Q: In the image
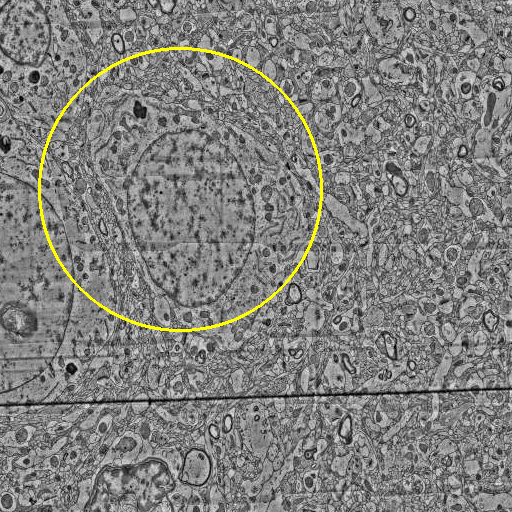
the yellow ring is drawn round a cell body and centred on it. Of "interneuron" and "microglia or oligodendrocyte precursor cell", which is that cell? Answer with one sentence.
The cell centred in the ring is an interneuron.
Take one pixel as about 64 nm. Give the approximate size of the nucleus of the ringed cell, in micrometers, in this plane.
In this plane the nucleus measures roughly 11 by 8 micrometers.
